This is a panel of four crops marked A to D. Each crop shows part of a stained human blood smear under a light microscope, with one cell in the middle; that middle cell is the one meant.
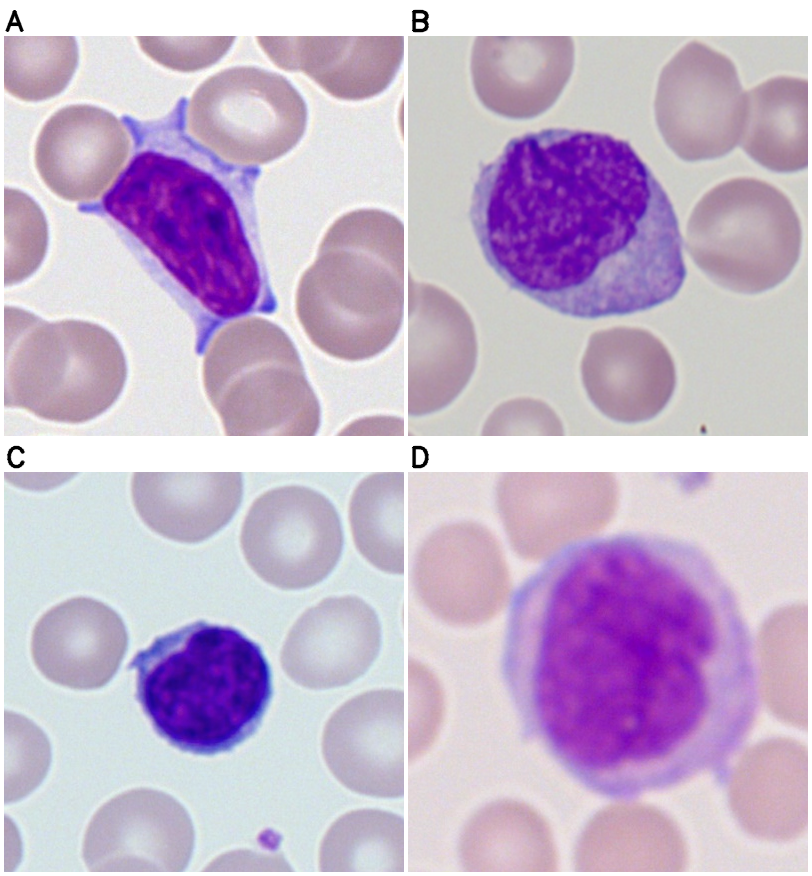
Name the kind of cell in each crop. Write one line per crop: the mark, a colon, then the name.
A: lymphocyte
B: monocyte
C: lymphocyte
D: monocyte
